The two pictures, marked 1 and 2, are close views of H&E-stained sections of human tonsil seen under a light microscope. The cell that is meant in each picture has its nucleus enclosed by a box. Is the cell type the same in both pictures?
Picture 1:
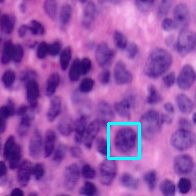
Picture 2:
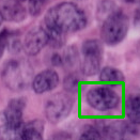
yes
